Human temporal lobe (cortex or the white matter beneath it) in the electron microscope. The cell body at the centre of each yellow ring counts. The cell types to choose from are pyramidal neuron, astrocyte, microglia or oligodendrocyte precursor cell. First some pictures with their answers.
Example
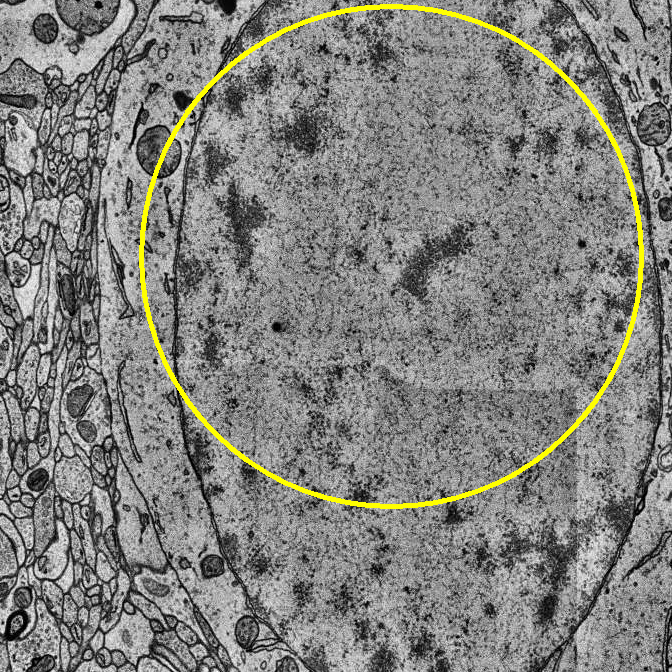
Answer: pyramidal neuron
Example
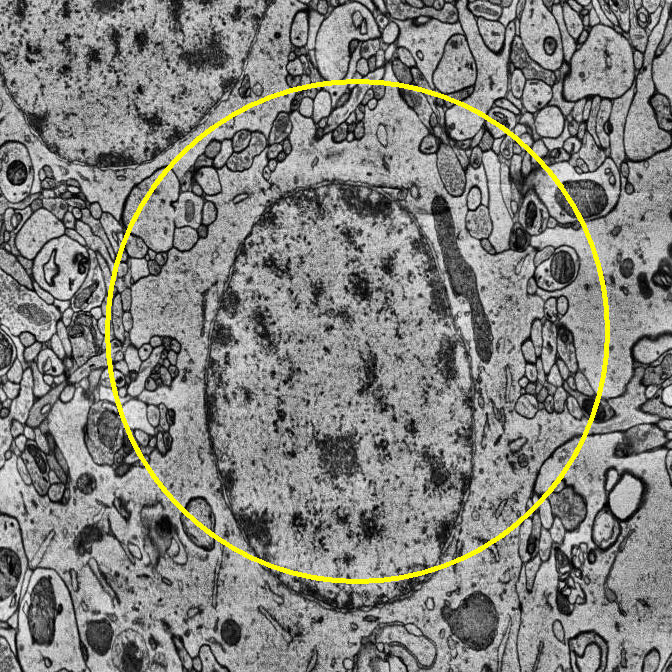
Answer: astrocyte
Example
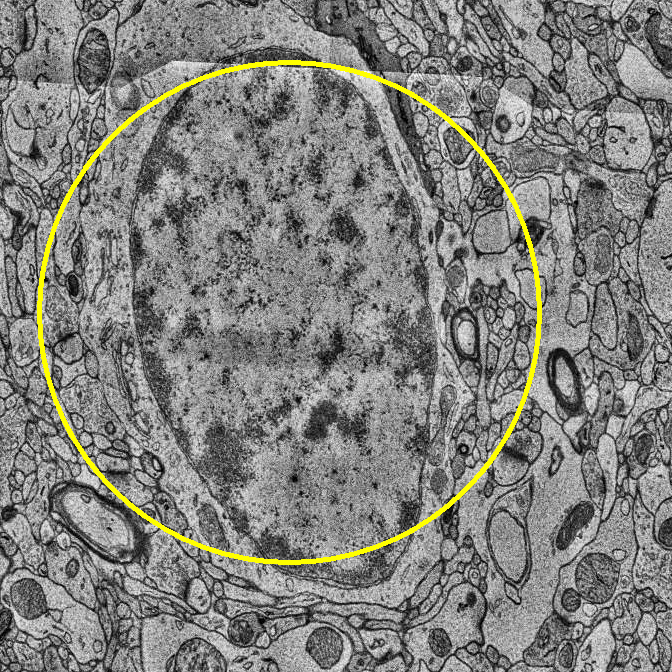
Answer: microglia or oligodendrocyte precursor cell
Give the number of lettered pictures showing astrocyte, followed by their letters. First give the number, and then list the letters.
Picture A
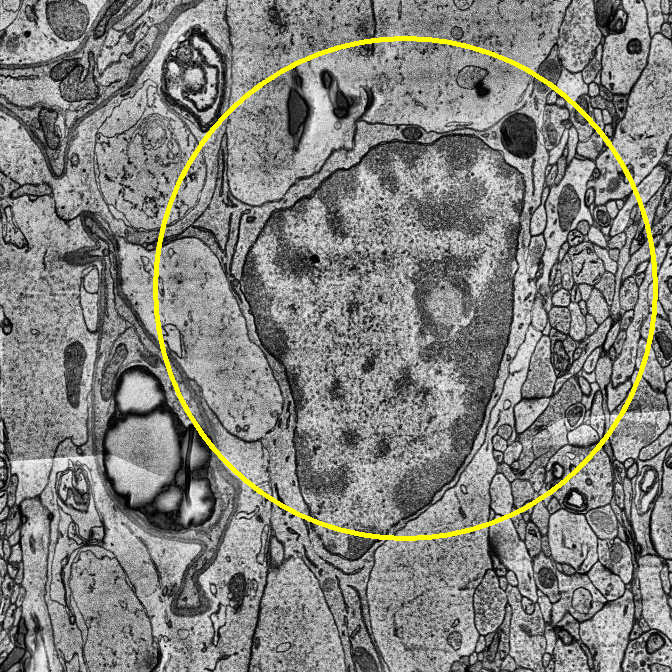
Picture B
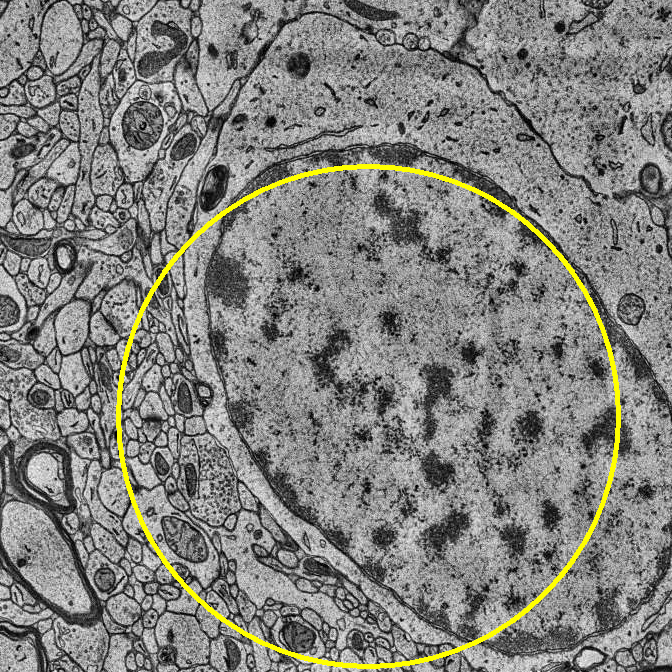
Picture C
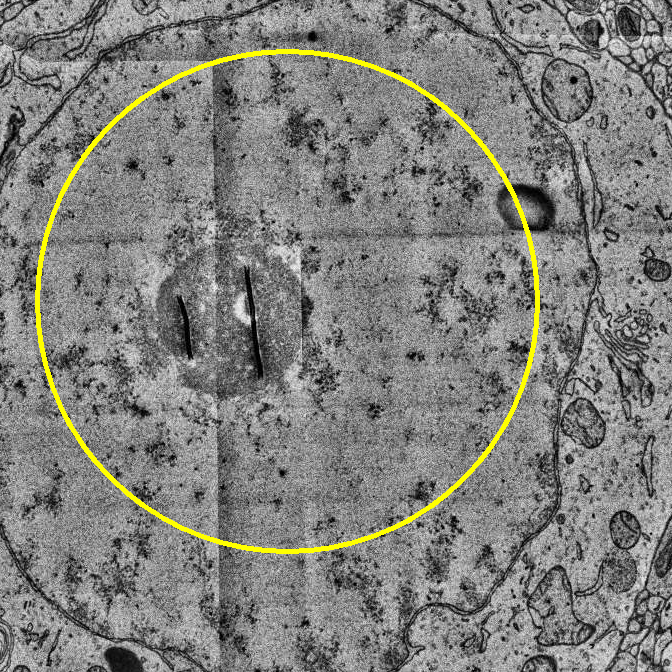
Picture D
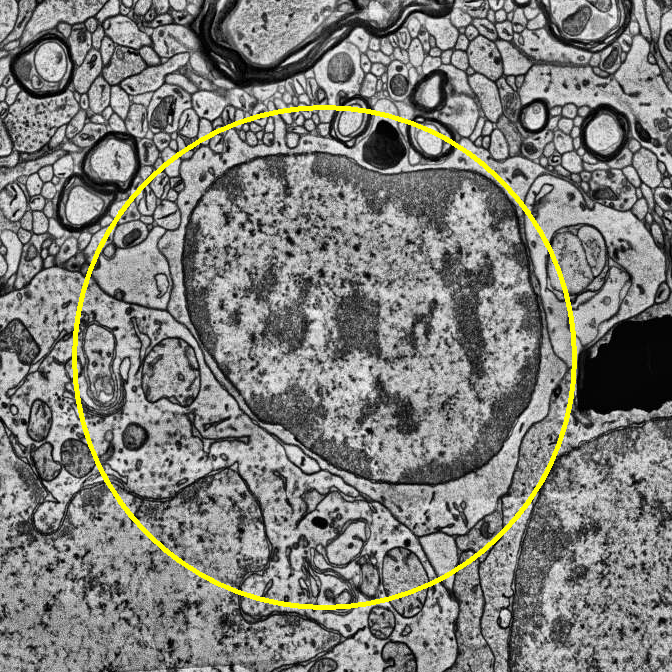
0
